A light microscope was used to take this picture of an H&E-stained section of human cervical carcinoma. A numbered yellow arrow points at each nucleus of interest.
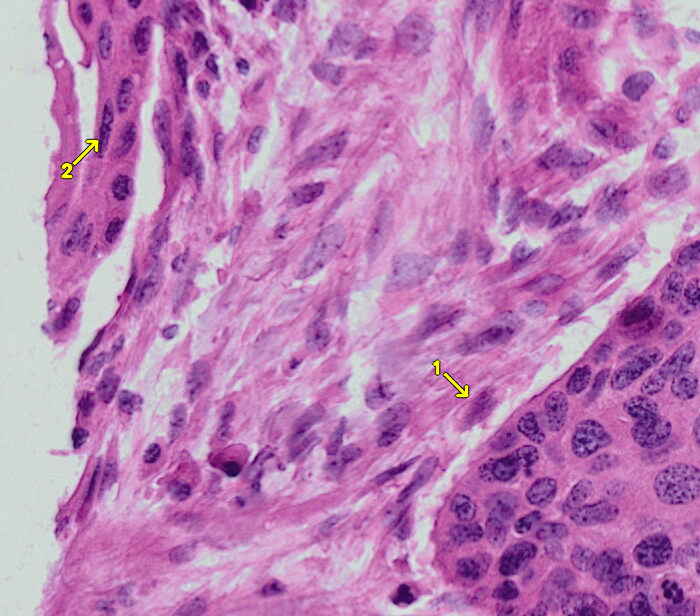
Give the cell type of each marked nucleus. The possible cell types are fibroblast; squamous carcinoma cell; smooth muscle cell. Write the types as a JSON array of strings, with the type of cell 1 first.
["fibroblast", "squamous carcinoma cell"]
